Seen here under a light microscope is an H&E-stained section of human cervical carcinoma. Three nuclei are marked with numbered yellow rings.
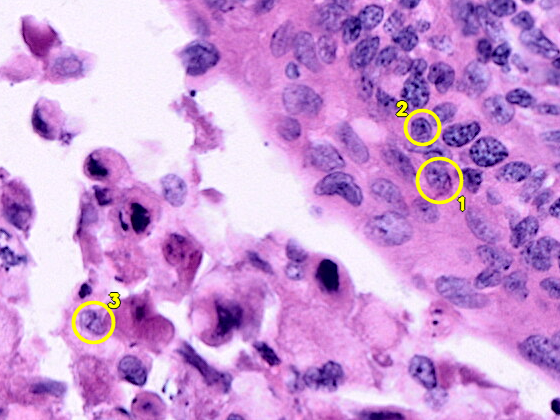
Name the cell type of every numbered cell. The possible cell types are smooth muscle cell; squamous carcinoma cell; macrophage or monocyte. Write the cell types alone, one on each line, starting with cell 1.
squamous carcinoma cell
squamous carcinoma cell
macrophage or monocyte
